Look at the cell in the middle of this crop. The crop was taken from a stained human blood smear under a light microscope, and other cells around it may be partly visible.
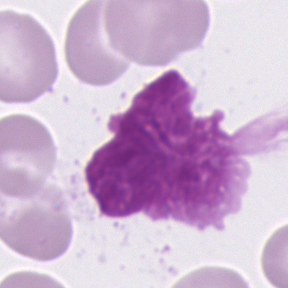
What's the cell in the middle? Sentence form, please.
The middle of this crop holds a smudge cell.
